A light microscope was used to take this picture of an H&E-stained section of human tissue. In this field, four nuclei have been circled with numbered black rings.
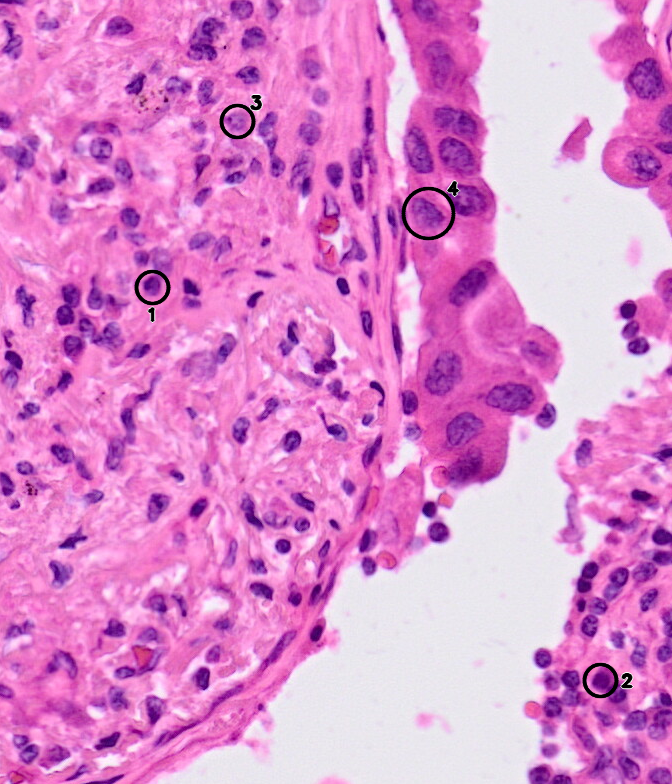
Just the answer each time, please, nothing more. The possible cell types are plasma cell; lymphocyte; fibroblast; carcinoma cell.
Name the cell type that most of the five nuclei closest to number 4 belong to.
fibroblast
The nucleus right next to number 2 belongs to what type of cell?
plasma cell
